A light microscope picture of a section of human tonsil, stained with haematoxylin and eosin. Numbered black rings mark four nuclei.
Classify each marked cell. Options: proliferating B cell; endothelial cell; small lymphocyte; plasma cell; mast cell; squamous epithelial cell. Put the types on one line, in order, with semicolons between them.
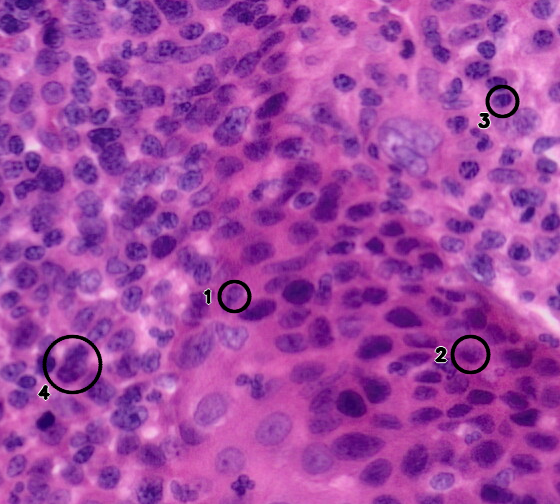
squamous epithelial cell; squamous epithelial cell; plasma cell; squamous epithelial cell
